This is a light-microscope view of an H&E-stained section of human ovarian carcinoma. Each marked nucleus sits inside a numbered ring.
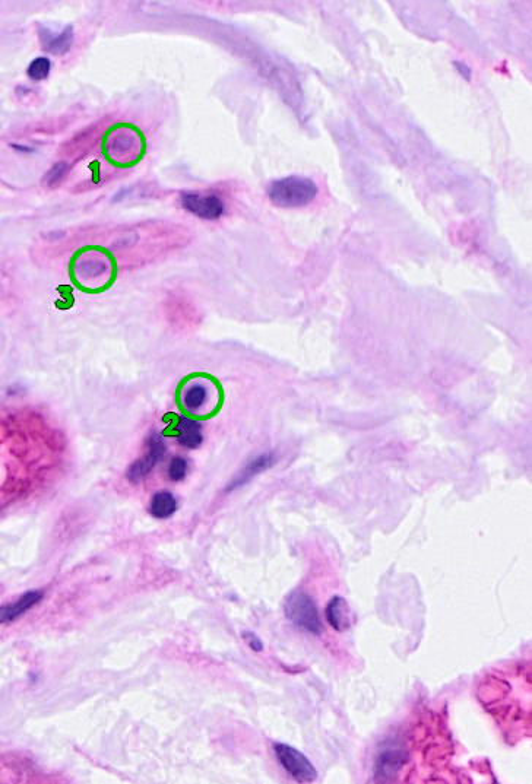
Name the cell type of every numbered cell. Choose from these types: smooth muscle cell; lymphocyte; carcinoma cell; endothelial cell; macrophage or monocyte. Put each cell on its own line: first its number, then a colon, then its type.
1: smooth muscle cell
2: lymphocyte
3: smooth muscle cell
